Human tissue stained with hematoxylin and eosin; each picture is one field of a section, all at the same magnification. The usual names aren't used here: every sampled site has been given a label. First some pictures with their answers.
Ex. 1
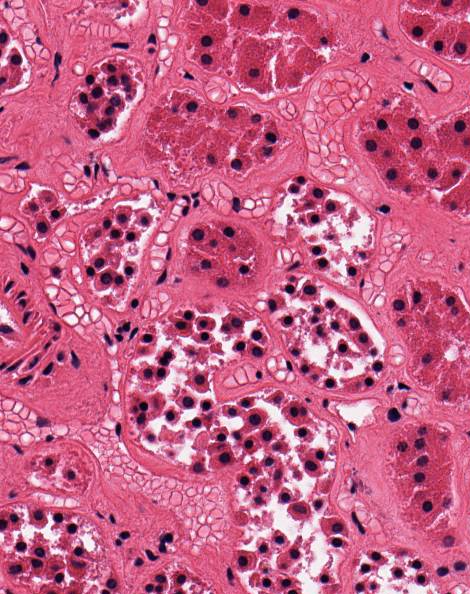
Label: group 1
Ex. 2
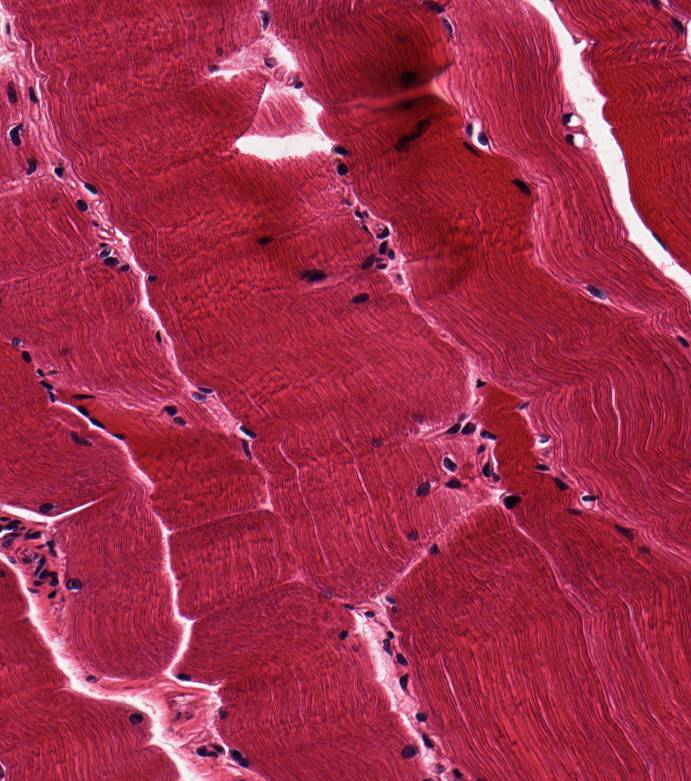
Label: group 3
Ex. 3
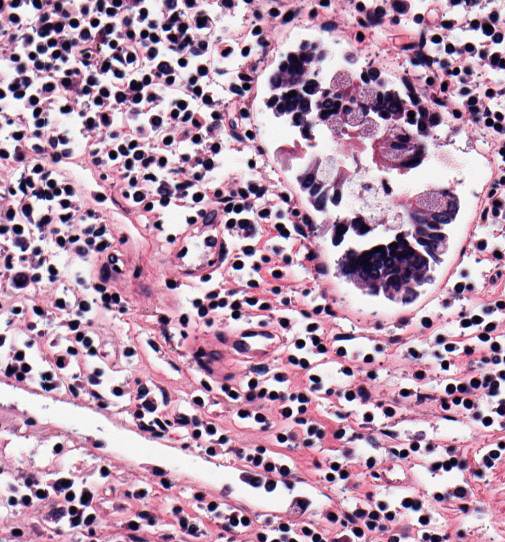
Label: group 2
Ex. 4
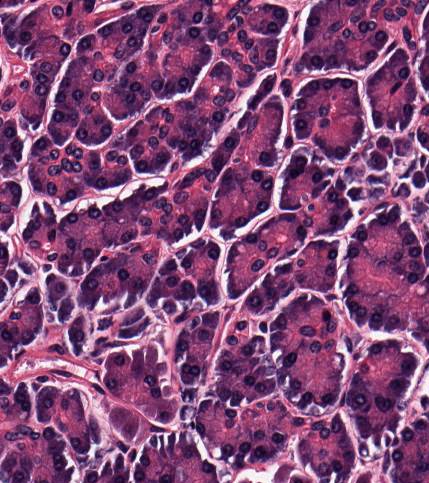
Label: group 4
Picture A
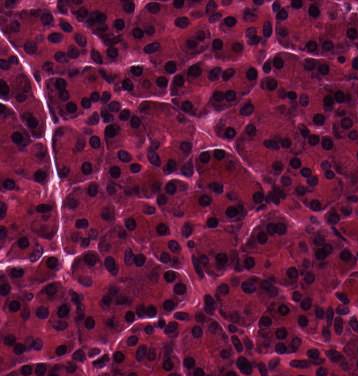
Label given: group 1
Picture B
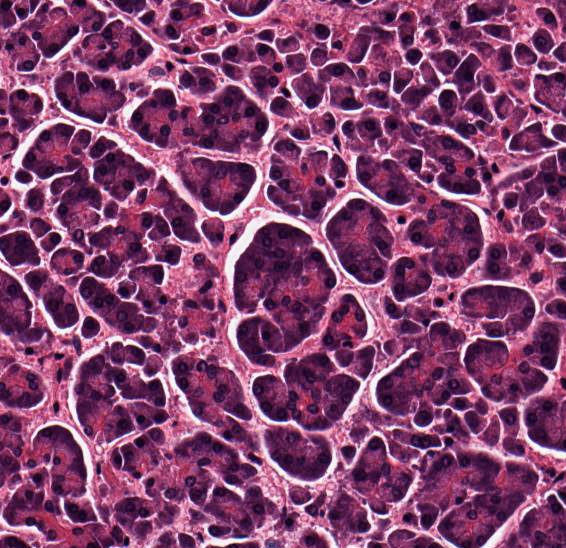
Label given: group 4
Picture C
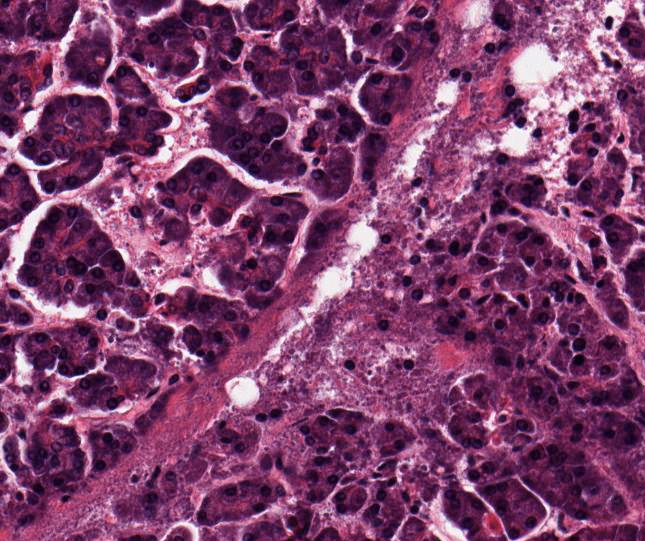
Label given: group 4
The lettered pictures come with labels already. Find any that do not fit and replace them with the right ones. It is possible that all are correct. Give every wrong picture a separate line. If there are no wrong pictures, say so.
A: group 4, not group 1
